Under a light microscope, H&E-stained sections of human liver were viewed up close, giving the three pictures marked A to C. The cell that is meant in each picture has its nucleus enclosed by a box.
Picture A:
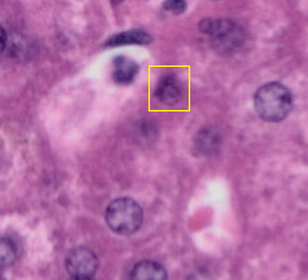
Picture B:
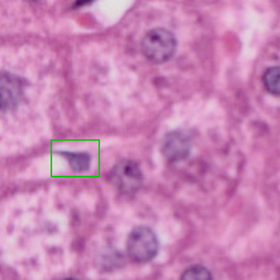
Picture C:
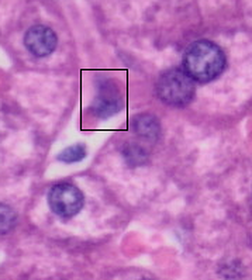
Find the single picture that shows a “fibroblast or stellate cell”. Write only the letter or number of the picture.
A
